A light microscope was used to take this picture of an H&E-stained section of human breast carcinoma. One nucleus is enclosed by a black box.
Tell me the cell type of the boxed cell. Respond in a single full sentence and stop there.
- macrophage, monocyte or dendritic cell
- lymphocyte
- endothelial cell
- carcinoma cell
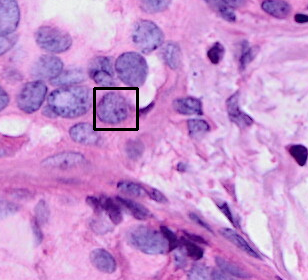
Within the stained tissue, the boxed cell is a carcinoma cell.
